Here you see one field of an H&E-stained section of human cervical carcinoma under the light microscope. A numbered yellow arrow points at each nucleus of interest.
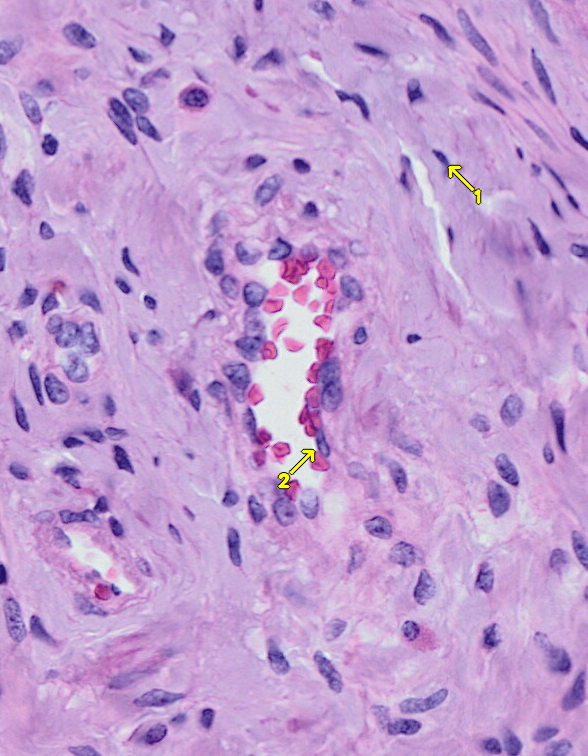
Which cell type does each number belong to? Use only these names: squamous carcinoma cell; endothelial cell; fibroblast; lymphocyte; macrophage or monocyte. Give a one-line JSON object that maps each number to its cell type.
{"1": "fibroblast", "2": "endothelial cell"}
